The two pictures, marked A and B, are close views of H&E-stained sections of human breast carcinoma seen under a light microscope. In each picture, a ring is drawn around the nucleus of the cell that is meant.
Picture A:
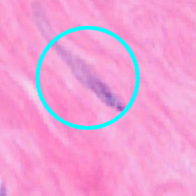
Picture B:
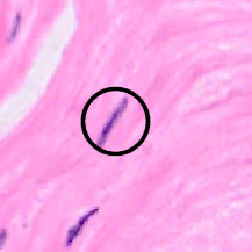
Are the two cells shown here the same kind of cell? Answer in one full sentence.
Yes, both are fibroblasts.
